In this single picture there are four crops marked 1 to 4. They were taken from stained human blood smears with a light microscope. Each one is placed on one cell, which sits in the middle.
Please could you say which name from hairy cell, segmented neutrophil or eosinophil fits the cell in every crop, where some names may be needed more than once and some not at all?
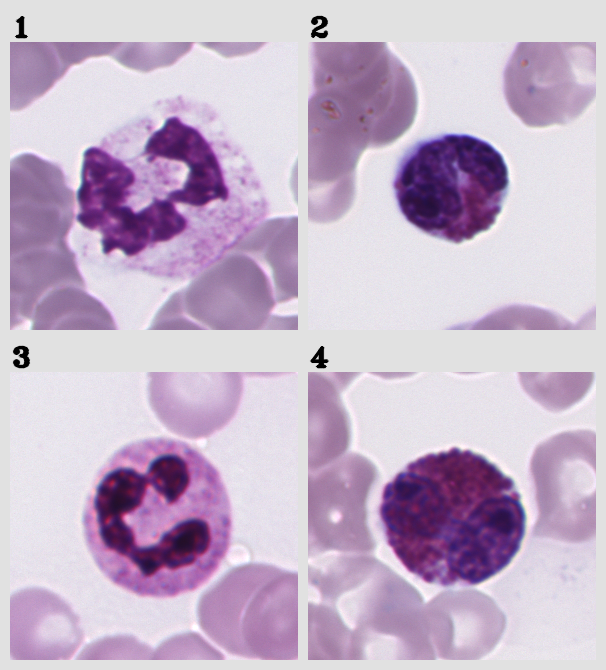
1: segmented neutrophil
2: eosinophil
3: segmented neutrophil
4: eosinophil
